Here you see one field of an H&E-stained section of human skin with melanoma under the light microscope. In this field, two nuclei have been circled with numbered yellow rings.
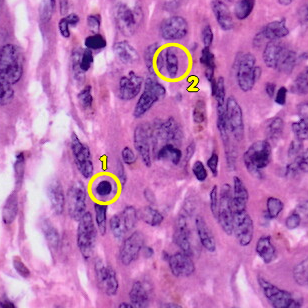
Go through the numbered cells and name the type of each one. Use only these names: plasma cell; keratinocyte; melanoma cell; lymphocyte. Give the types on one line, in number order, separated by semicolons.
lymphocyte; melanoma cell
